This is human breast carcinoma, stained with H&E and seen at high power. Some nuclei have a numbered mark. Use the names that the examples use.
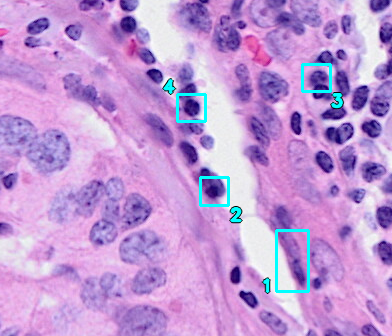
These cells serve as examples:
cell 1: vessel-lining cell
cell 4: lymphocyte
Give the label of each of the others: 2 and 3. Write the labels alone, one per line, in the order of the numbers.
lymphocyte
lymphocyte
